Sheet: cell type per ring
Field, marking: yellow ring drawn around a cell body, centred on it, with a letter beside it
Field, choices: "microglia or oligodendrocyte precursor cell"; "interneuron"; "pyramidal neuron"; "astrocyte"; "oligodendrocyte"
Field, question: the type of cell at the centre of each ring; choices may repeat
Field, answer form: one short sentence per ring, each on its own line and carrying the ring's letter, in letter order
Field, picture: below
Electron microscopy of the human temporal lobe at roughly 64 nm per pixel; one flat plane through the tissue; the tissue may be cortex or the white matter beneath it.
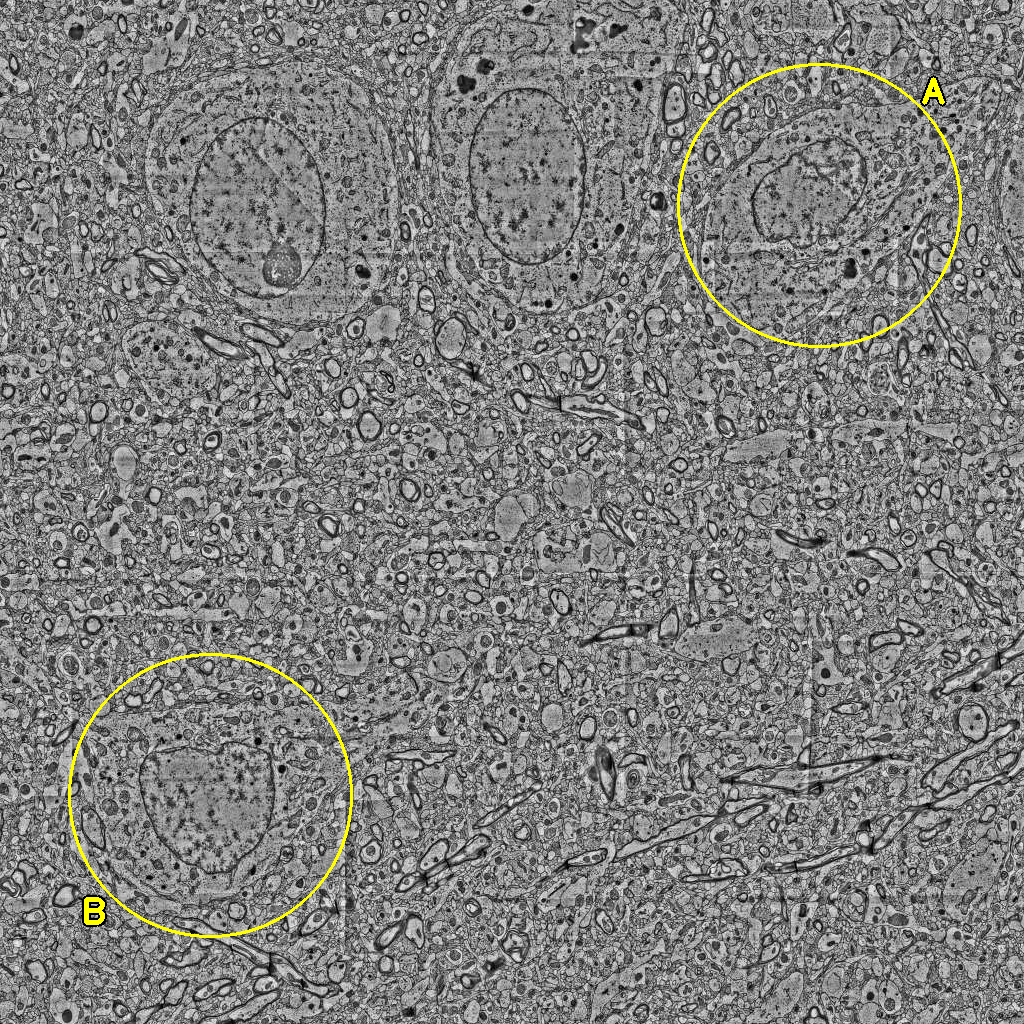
The cell body inside ring A, at its centre, is a pyramidal neuron.
The cell body inside ring B, at its centre, is a pyramidal neuron.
